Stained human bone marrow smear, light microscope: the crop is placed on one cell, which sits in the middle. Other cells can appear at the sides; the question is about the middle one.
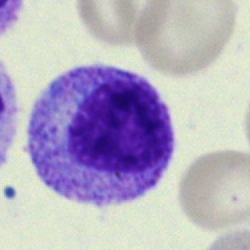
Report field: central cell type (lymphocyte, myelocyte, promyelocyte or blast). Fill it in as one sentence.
As for the cell in the middle, it is a myelocyte.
